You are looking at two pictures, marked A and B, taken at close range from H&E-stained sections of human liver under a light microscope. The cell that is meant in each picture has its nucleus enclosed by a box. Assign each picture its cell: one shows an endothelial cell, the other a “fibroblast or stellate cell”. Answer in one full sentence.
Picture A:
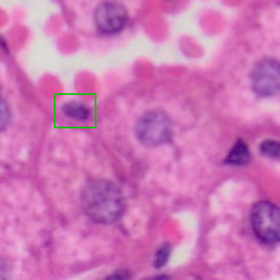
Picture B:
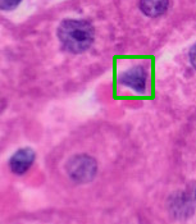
The cell in picture A is a “fibroblast or stellate cell”, and the one in picture B is an endothelial cell.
